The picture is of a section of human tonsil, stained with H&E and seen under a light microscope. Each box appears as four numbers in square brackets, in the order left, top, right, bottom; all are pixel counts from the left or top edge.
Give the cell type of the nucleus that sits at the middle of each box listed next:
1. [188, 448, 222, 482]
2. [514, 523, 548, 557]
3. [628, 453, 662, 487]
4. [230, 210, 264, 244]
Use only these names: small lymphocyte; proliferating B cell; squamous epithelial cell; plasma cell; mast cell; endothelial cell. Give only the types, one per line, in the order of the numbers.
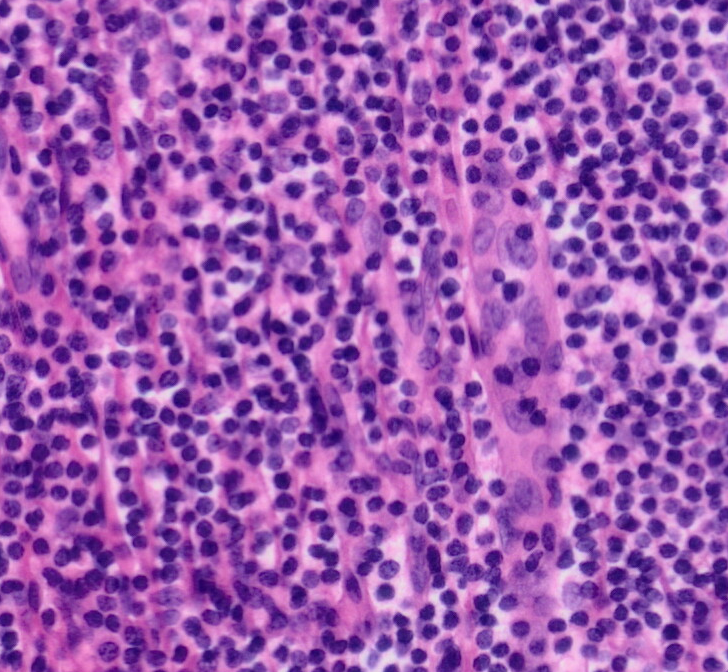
small lymphocyte
endothelial cell
small lymphocyte
small lymphocyte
